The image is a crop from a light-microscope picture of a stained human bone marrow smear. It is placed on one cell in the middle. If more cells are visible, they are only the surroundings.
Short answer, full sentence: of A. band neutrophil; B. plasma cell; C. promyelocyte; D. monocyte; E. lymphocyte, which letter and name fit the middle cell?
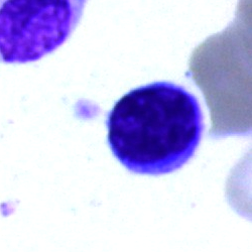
The cell in the centre of the crop is a lymphocyte, so option E is the correct one.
